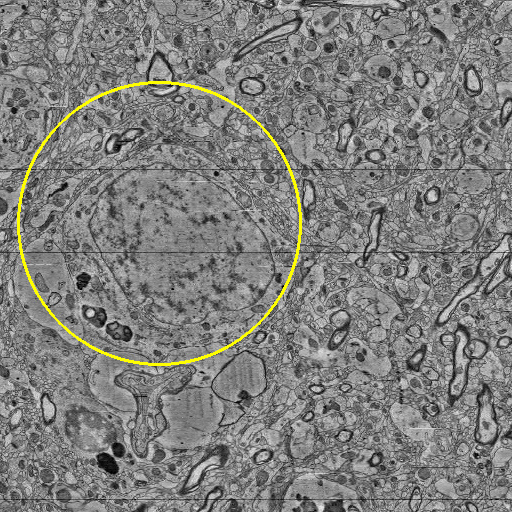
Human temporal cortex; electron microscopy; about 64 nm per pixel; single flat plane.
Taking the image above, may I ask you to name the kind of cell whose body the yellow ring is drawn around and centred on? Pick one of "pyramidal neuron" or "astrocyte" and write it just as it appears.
pyramidal neuron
